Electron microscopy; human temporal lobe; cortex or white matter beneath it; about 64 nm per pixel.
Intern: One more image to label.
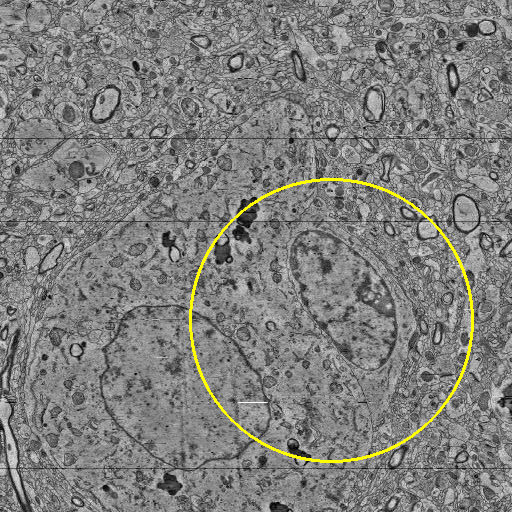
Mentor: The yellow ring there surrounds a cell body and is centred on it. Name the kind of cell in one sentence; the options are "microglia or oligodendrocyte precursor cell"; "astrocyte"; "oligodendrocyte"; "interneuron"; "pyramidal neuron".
The ring marks the cell body of a microglial cell or oligodendrocyte precursor cell.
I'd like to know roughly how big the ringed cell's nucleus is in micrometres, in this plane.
In this plane the nucleus is roughly 10 by 5 micrometres, clearly longer than it is wide.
